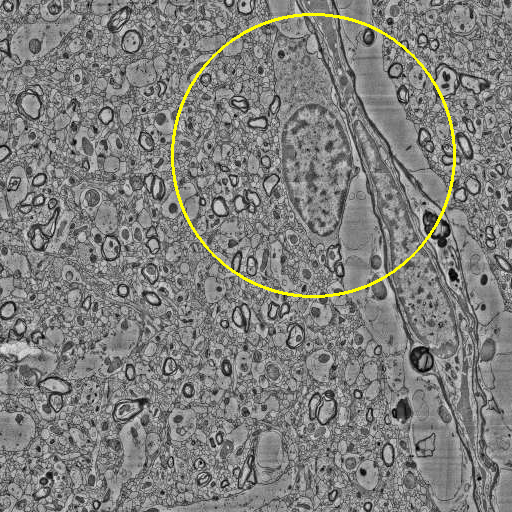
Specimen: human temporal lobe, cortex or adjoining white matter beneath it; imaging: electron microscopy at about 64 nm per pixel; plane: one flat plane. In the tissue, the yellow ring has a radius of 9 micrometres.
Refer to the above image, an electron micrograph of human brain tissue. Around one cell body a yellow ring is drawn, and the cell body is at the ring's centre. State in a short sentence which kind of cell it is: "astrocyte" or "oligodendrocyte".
The centre of the ring falls on an oligodendrocyte.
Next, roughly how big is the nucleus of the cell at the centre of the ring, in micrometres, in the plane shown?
The nucleus comes to roughly 7 by 4 micrometres in this plane.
